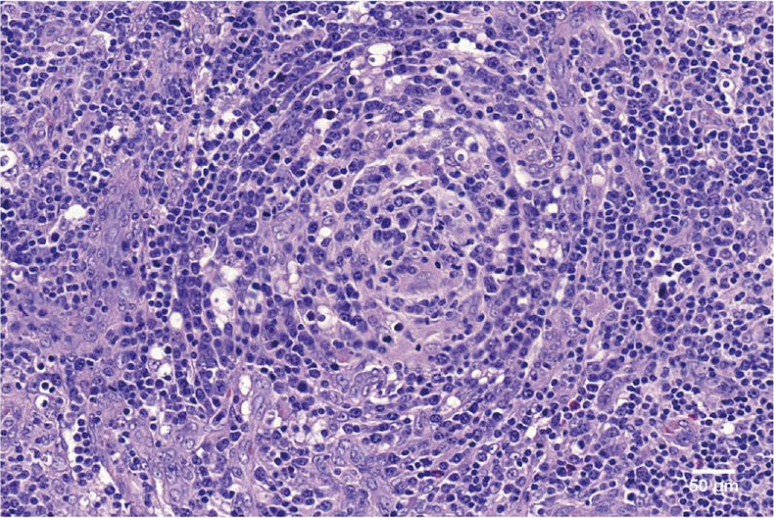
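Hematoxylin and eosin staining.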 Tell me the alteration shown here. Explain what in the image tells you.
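A follicle whose central pale zone is small. The small center is encircled by many concentric layers of small dark lymphocytes. On this evidence: atrophic germinal center.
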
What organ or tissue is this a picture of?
Lymph node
